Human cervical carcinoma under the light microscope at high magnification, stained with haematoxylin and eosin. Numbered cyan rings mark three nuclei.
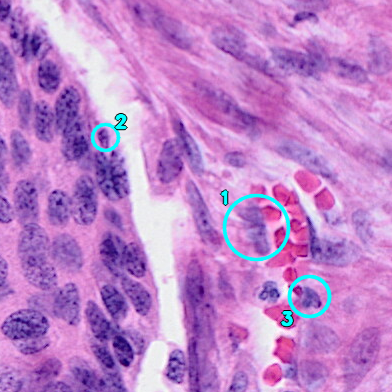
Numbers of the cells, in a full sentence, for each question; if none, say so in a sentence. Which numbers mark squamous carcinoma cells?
Only the cell with the number 2 is a squamous carcinoma cell.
